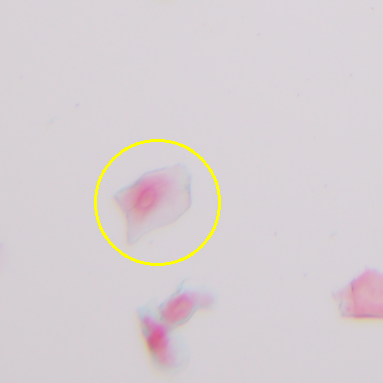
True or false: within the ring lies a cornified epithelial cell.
False: a nucleated epithelial cell lies within the ring.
